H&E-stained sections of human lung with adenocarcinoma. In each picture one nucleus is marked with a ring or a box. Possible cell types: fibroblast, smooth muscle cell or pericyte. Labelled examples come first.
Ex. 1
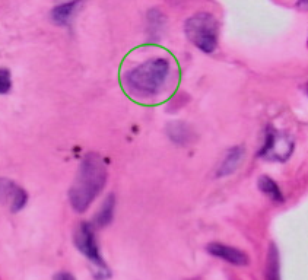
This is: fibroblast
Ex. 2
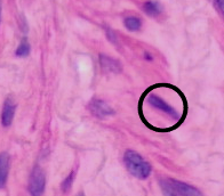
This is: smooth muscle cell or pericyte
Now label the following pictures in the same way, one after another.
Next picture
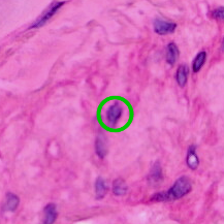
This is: smooth muscle cell or pericyte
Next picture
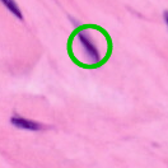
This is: fibroblast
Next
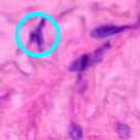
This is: fibroblast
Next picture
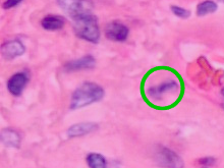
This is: fibroblast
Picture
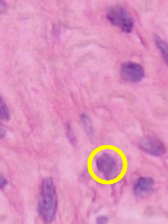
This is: smooth muscle cell or pericyte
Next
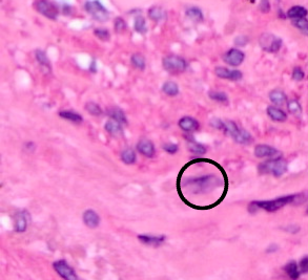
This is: fibroblast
